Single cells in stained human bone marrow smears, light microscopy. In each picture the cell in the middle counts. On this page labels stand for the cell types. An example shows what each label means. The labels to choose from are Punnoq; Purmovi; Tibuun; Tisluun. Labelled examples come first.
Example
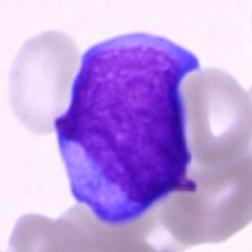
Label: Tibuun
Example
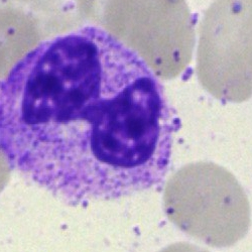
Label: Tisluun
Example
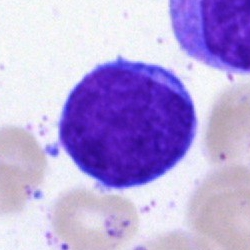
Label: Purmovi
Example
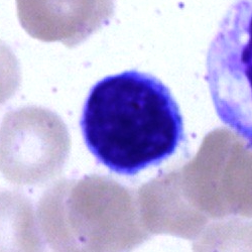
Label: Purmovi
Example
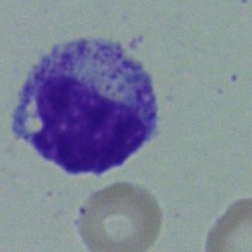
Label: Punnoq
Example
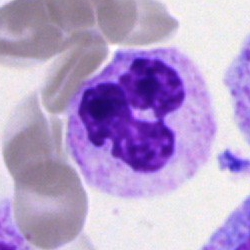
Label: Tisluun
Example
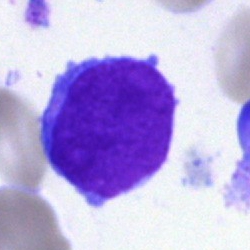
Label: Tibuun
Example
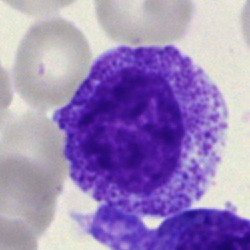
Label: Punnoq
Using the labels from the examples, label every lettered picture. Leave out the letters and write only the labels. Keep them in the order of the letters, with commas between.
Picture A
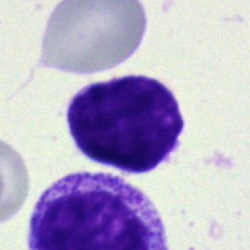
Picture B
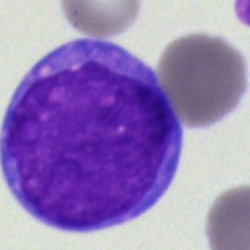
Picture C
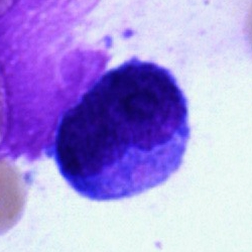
Purmovi, Tibuun, Tibuun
